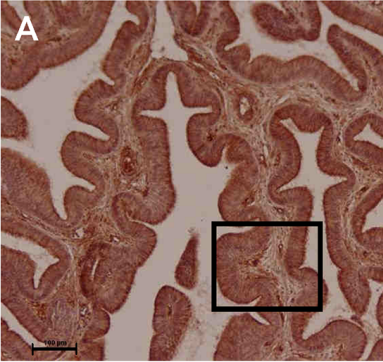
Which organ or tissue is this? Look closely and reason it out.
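Oviduct. Many branching mucosal folds project into a central lumen. The folds are lined by a tall columnar epithelium. Thin cores of connective tissue run inside the folds.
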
